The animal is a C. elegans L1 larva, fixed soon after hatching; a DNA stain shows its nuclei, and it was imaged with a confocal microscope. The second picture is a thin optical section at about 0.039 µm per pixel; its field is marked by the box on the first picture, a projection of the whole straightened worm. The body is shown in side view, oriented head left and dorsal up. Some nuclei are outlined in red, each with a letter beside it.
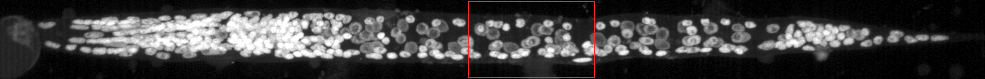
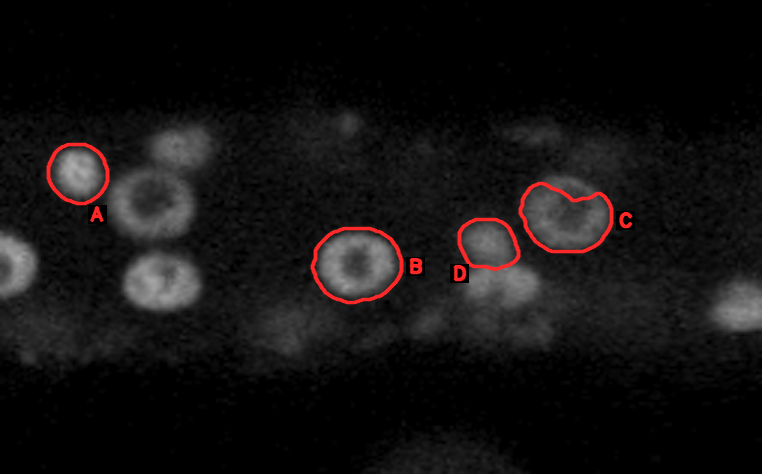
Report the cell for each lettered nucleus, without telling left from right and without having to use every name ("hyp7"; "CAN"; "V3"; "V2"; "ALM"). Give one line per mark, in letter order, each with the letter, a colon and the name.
A: ALM
B: V3
C: hyp7
D: CAN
